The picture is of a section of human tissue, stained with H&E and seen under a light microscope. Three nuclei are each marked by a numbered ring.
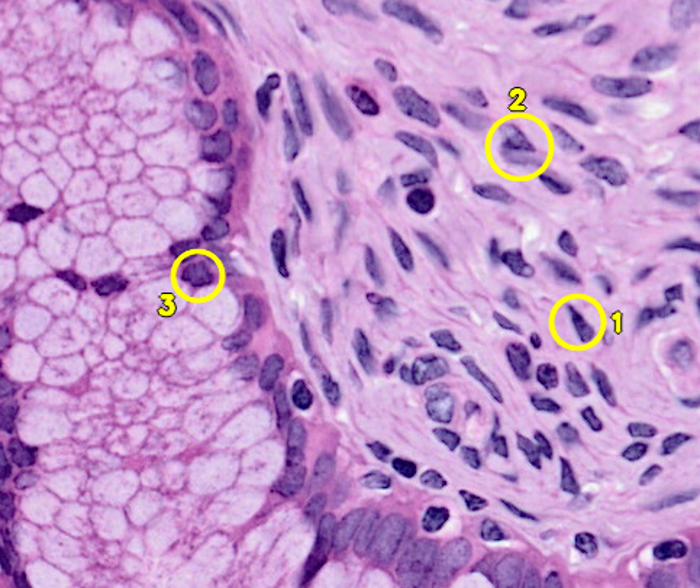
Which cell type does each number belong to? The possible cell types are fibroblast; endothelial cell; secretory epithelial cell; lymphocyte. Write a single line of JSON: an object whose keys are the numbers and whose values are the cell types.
{"1": "fibroblast", "2": "fibroblast", "3": "secretory epithelial cell"}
